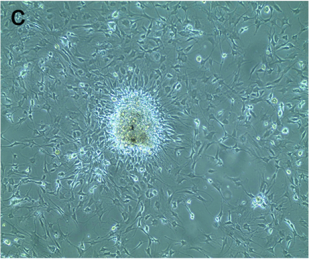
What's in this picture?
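In the centre lies a dense, dark cluster of cells from which elongated cells radiate outward. Across the rest of the field scattered cells are spindle-shaped, tapering at both ends, with some rounder bright cells among them. The cells are not yet confluent, leaving open spaces between them.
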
